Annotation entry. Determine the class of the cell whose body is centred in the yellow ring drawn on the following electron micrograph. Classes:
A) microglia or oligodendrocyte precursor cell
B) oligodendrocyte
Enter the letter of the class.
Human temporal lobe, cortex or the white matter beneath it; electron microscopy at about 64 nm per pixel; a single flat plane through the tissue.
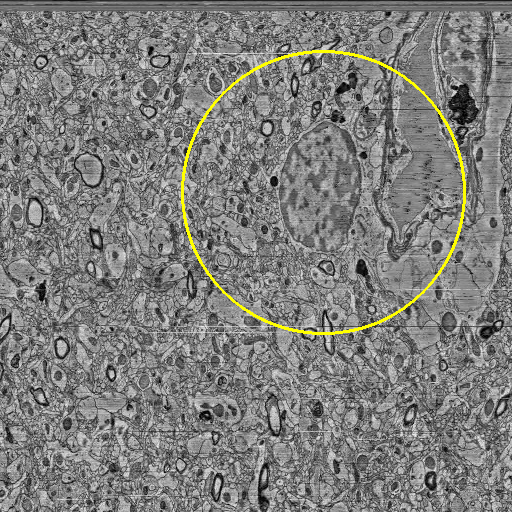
A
